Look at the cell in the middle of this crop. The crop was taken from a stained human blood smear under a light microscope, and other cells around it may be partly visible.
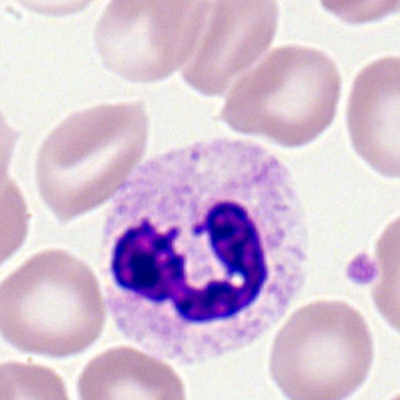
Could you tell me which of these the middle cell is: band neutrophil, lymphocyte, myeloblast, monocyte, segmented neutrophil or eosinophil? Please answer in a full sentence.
Located at the centre of the crop is a segmented neutrophil.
